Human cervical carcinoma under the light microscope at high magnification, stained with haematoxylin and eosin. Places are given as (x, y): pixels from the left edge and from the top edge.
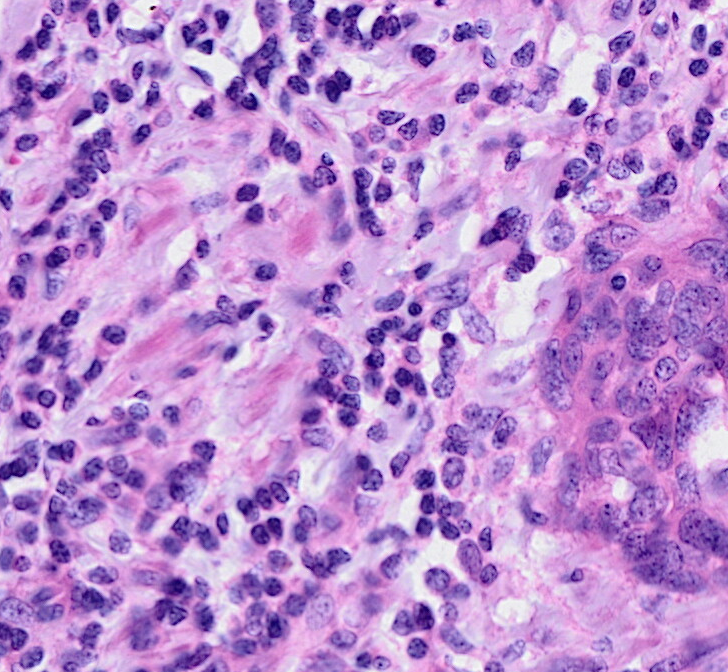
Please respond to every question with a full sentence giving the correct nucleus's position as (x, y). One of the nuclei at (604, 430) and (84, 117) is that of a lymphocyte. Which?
Housed in a lymphocyte is the nucleus at (84, 117), not the other one.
